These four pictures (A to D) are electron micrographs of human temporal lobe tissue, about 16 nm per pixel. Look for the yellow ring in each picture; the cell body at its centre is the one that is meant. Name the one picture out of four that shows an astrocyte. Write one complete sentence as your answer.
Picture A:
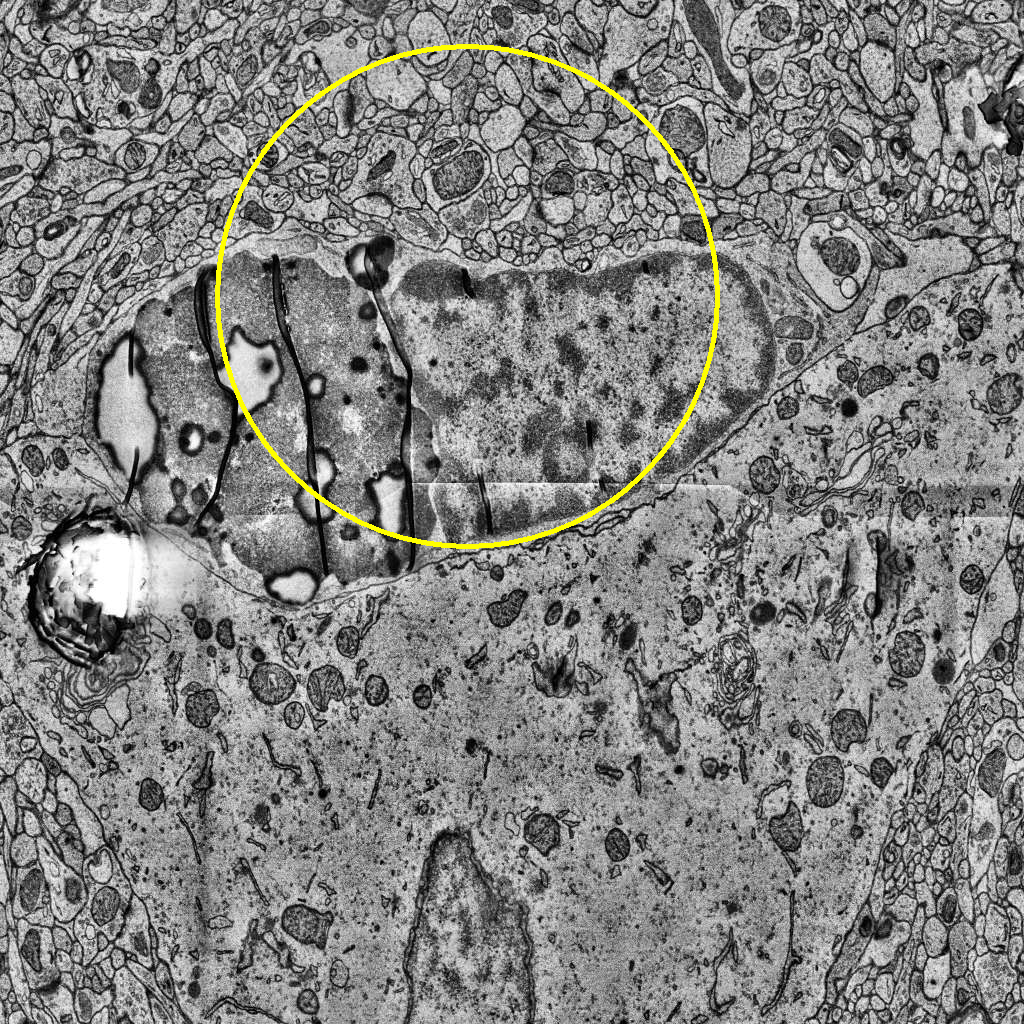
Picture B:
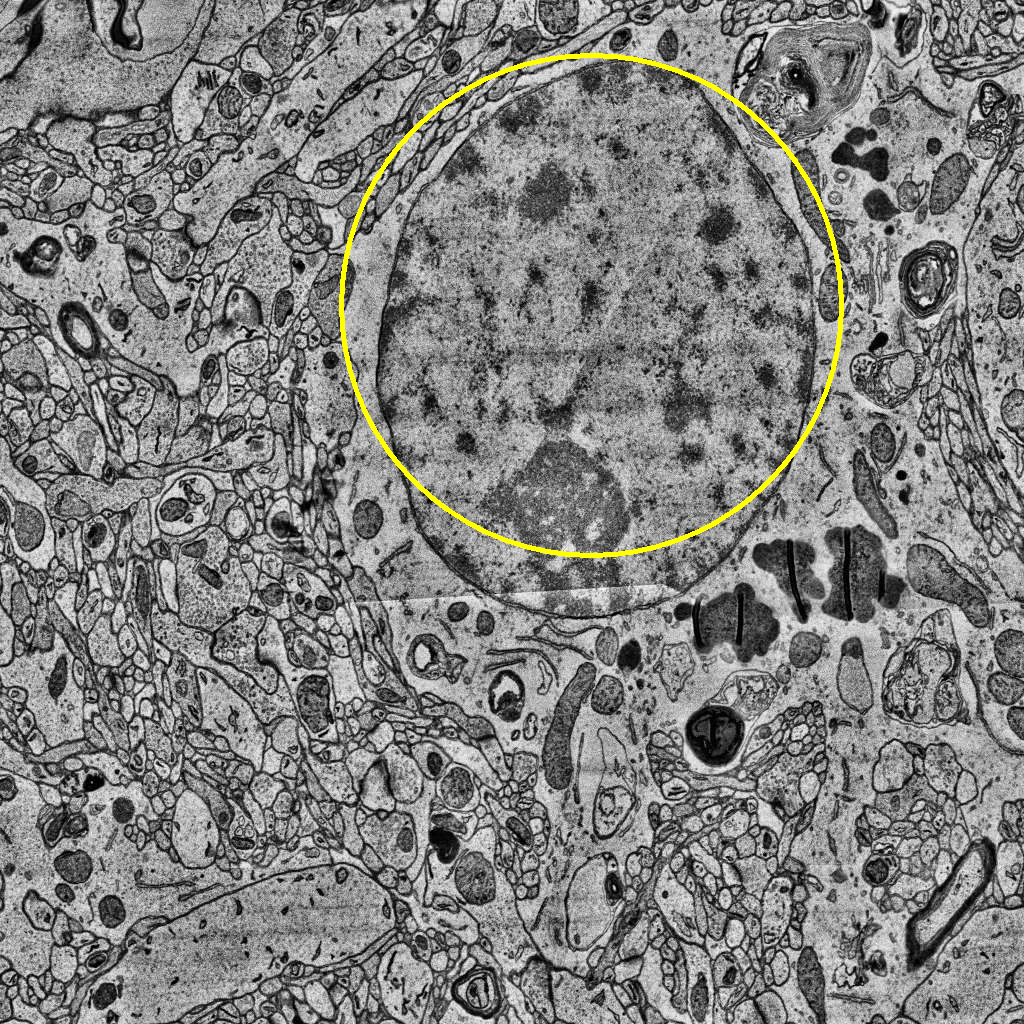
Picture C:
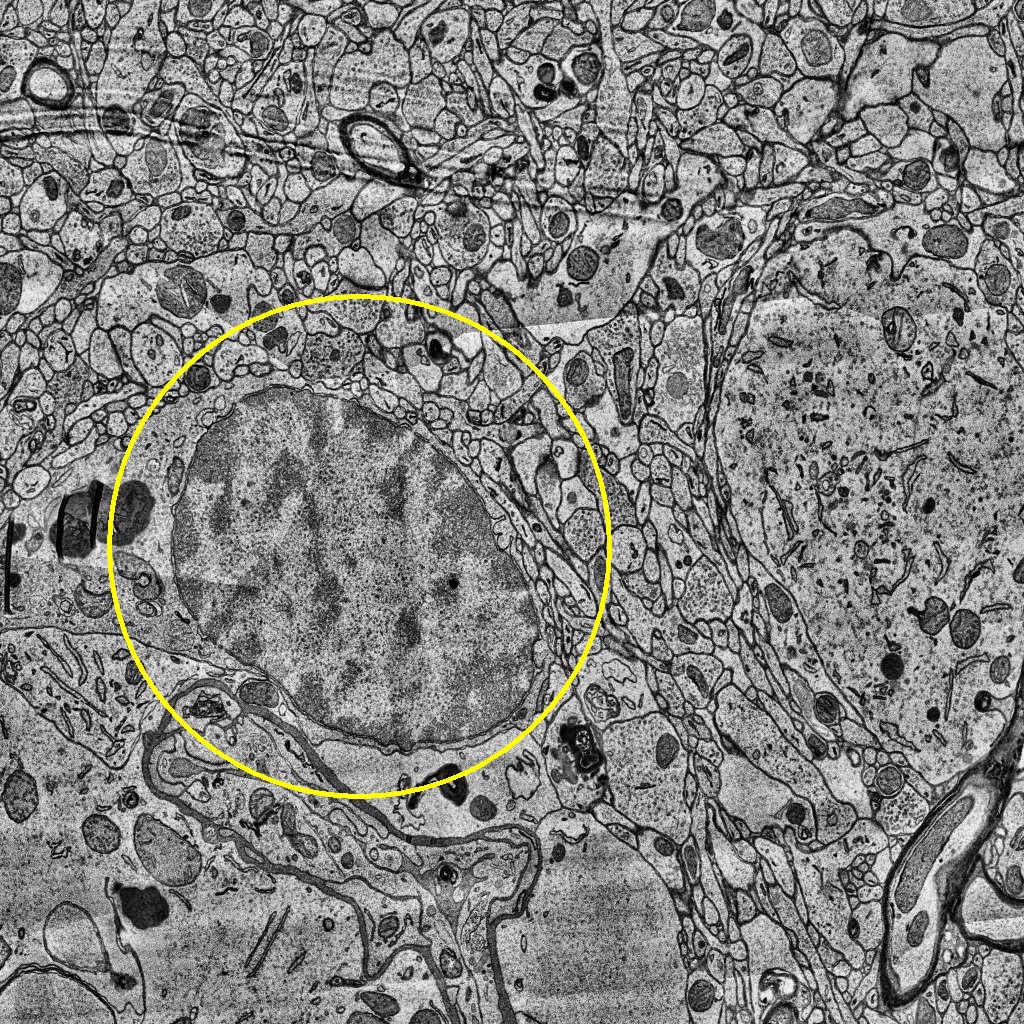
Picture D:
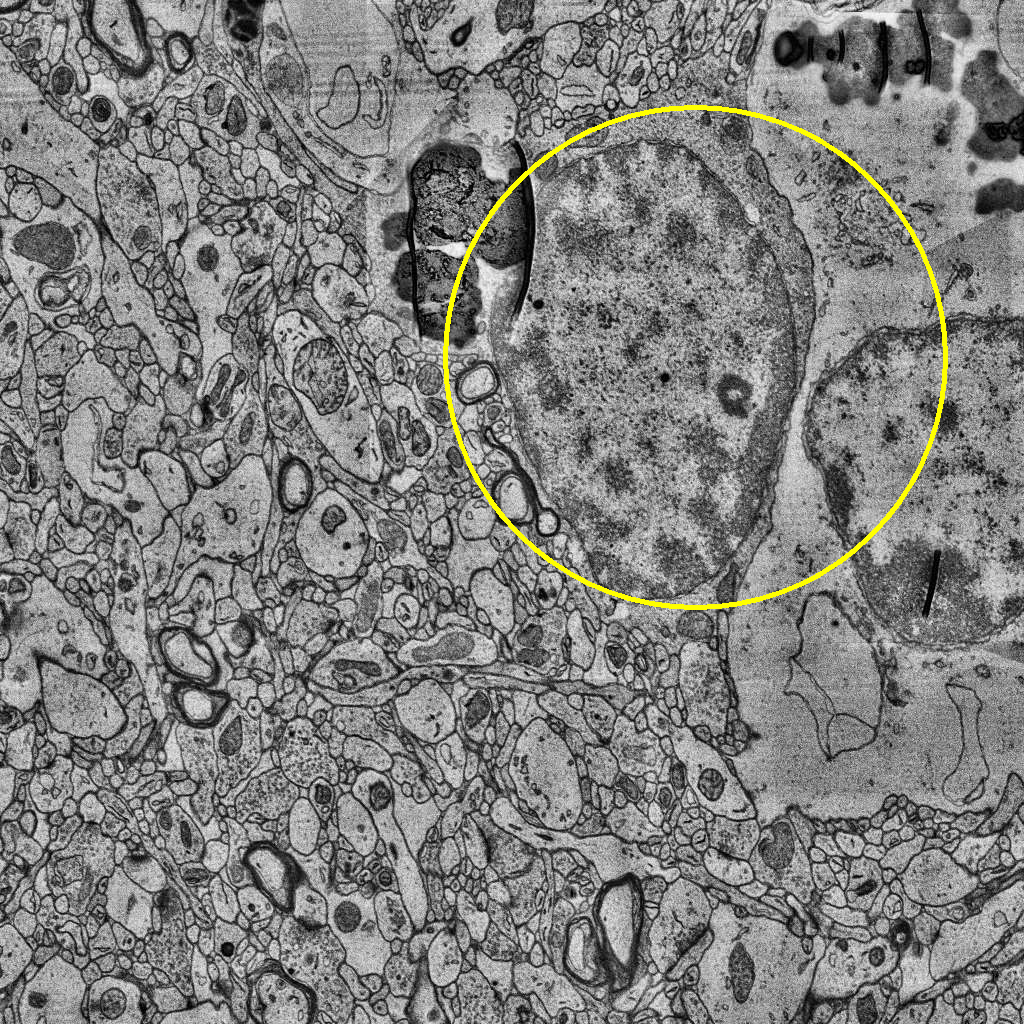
The picture with the astrocyte is B.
